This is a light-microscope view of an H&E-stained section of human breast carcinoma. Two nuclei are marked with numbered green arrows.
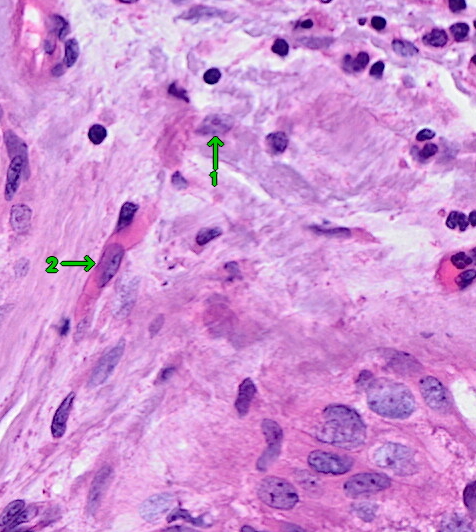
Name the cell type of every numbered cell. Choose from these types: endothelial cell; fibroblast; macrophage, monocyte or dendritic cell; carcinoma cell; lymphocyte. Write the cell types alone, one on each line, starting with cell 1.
fibroblast
endothelial cell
